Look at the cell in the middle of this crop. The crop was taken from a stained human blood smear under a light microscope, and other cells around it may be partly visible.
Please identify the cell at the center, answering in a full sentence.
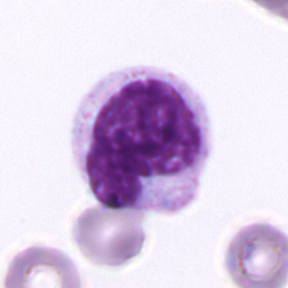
In the middle of this smear crop is a band neutrophil.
